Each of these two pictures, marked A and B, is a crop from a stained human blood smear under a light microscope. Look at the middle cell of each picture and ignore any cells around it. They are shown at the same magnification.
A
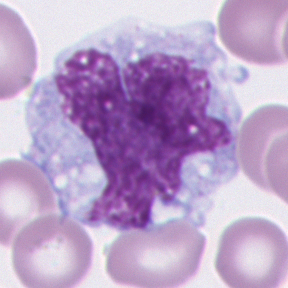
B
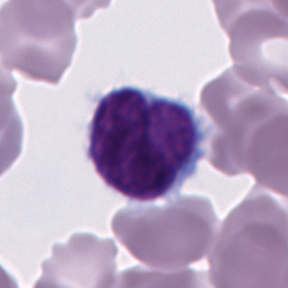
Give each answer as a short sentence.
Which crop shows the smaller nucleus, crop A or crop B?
It is the nucleus in crop B; the one in crop A has about 2 times its area.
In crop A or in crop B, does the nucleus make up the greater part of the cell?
It is the cell in crop B that is filled more by its nucleus.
